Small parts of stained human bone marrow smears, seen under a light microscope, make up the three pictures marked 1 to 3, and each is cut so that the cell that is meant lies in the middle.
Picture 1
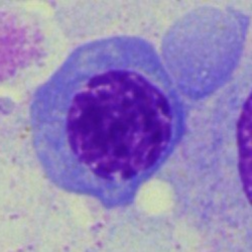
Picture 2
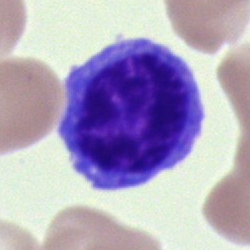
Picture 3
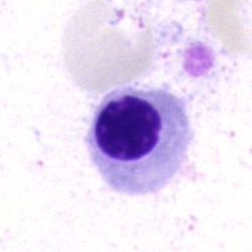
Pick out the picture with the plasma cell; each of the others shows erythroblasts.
2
